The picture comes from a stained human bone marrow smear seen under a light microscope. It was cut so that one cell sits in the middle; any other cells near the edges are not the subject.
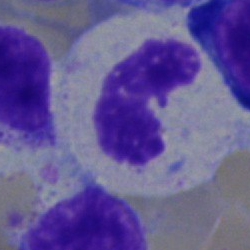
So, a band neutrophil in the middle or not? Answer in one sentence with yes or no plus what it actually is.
Yes, the cell that lies centrally is a band neutrophil.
